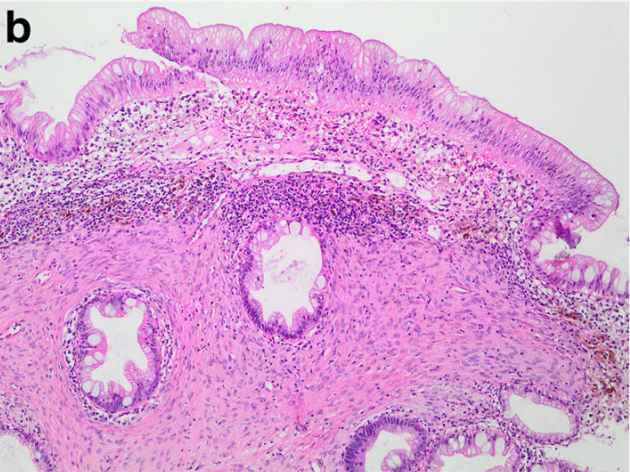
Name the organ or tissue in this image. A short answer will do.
surface epithelium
